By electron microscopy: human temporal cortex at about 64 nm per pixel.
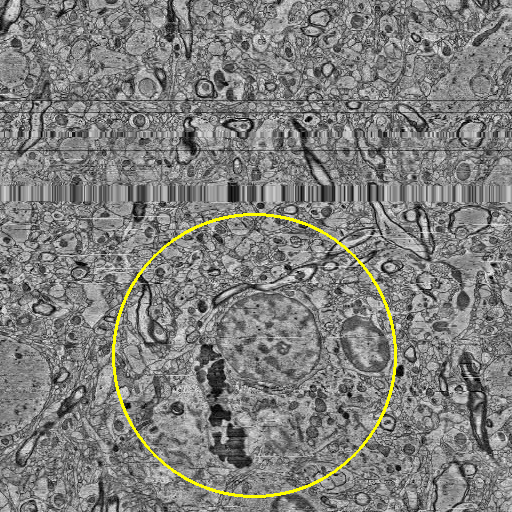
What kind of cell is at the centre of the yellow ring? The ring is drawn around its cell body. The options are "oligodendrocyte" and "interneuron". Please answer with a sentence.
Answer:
The yellow ring marks the cell body of an oligodendrocyte.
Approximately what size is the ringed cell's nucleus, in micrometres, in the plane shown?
Approximately 7 micrometers across in this plane.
